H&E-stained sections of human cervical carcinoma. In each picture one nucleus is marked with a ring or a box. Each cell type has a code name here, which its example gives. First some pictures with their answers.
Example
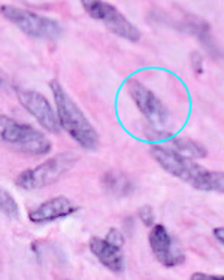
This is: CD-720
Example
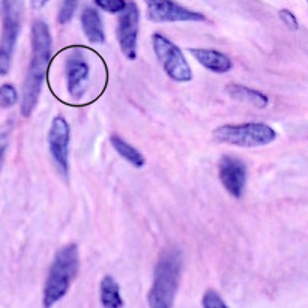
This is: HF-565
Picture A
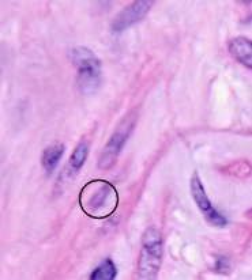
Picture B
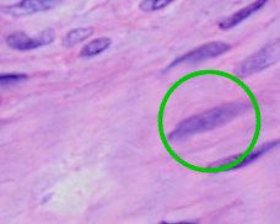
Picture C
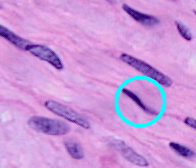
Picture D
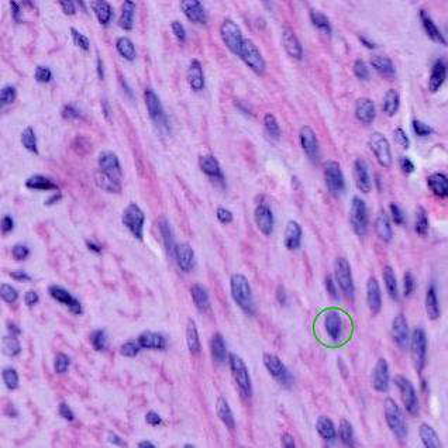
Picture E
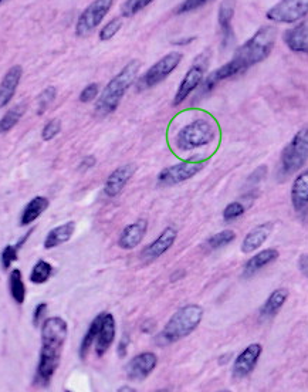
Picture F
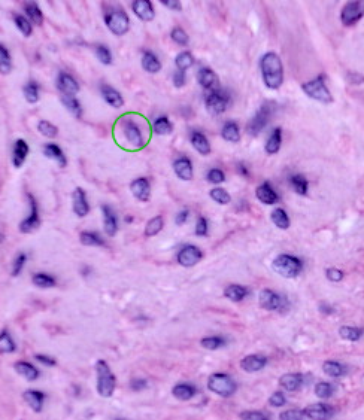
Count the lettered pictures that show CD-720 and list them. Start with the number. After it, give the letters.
Count: 4 (A, D, E, F)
